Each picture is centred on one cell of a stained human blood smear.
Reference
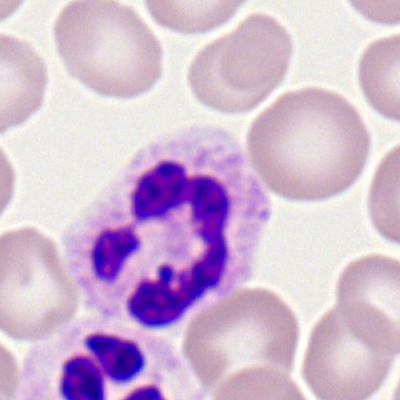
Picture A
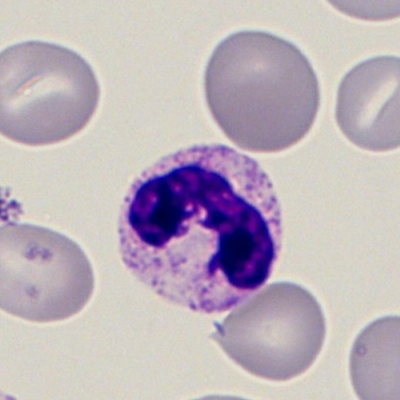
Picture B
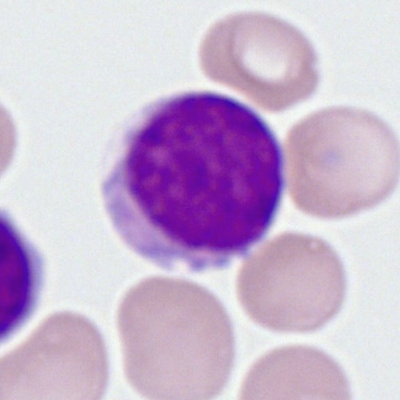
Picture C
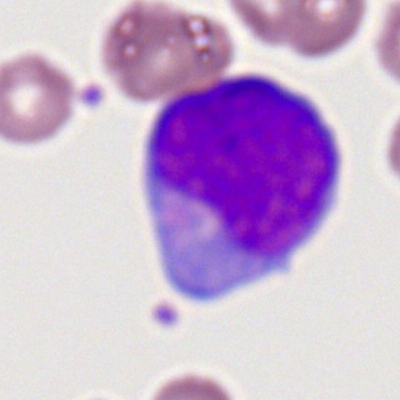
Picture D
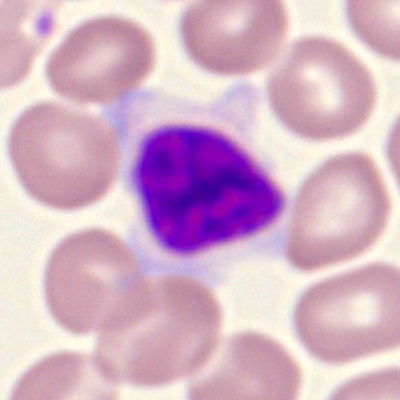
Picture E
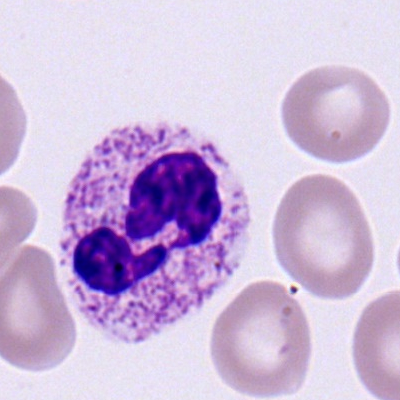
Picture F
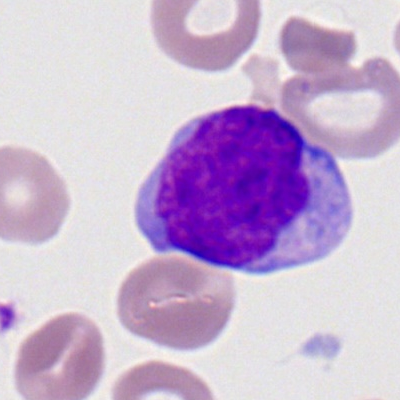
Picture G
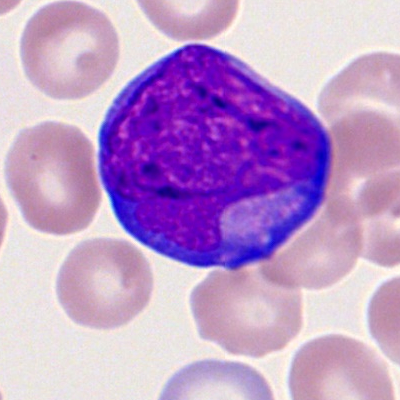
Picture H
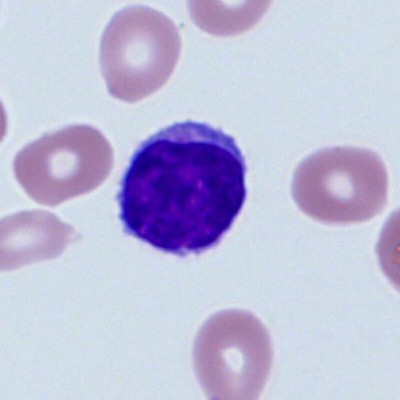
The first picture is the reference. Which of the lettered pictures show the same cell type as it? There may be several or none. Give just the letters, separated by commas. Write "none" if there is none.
A, E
